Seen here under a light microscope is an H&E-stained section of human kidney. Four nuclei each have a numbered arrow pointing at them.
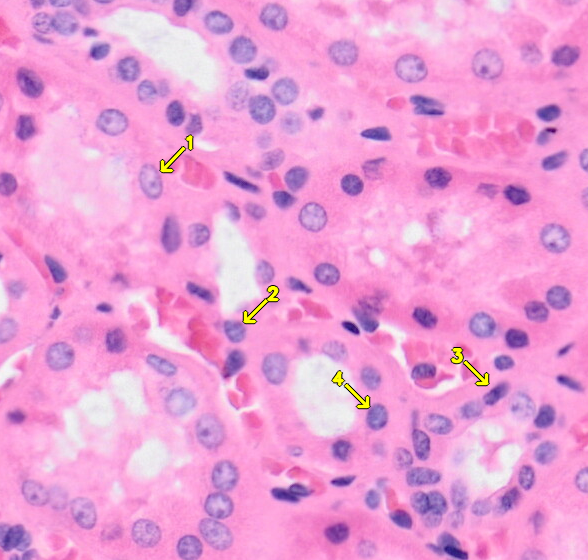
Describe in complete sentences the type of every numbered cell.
Cell 1 is a proximal tubule cell, cell 2 is a loop of Henle or distal tubule cell, cell 3 is a collecting duct cell and cell 4 is a loop of Henle or distal tubule cell.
